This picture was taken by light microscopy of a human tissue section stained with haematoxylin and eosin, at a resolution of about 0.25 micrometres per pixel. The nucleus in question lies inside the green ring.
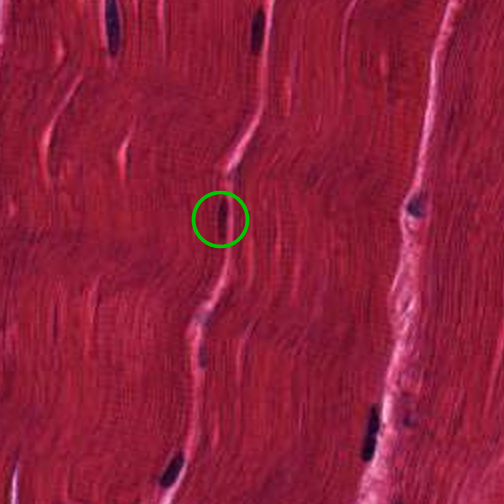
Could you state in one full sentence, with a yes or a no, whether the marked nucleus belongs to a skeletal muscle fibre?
Yes, belonging to a skeletal muscle fibre is the marked nucleus.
